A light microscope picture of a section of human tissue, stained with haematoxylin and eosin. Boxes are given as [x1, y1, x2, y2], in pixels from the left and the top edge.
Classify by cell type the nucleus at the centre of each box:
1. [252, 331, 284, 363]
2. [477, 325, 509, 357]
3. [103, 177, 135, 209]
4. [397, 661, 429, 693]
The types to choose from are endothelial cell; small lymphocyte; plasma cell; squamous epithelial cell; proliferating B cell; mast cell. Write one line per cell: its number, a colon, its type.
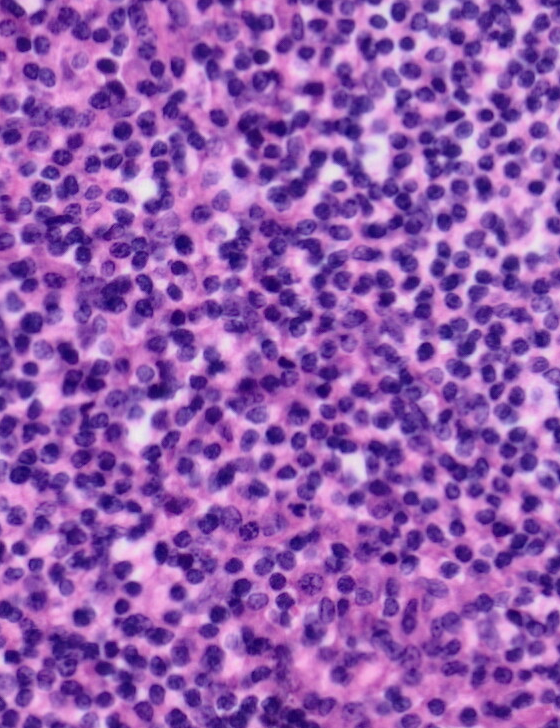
1: small lymphocyte
2: small lymphocyte
3: small lymphocyte
4: plasma cell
